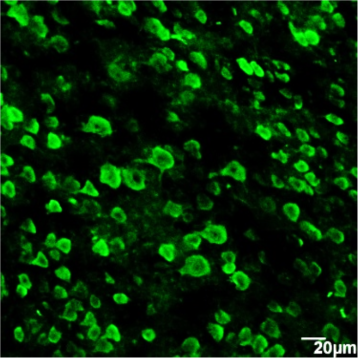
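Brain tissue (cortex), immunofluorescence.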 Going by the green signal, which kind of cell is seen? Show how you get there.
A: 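Many large rounded and pyramidal cell bodies are filled with green. Green bodies are scattered densely through the field. So: Neurons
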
